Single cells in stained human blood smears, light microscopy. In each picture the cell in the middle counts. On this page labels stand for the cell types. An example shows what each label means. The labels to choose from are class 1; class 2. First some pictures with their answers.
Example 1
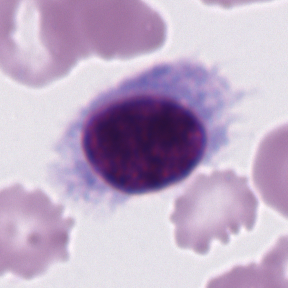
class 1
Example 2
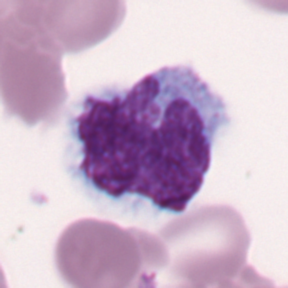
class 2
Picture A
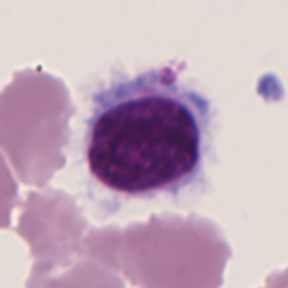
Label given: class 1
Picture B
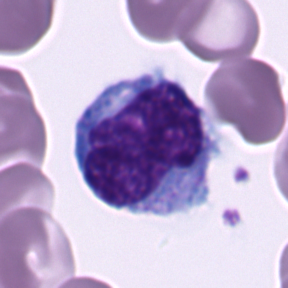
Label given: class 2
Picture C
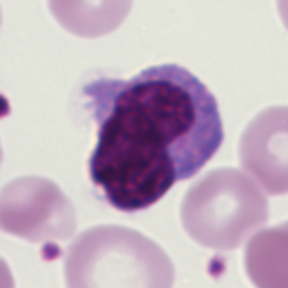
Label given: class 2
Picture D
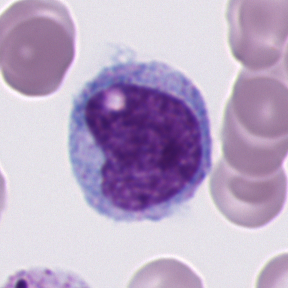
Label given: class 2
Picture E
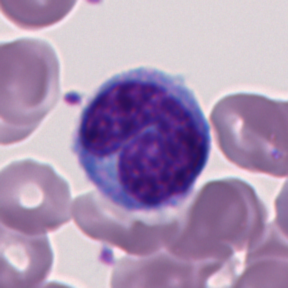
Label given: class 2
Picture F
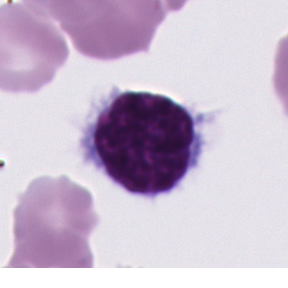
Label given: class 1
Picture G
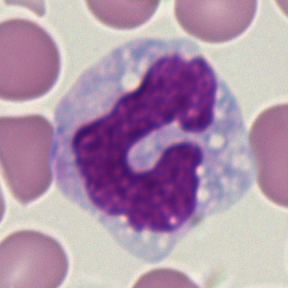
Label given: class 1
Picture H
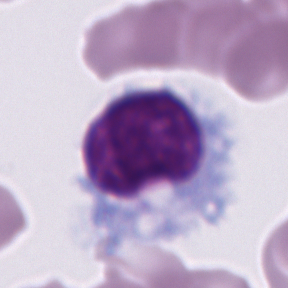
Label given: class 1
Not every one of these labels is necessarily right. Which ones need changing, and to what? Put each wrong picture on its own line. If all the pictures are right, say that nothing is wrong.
Wrong: G (class 1); correct: class 2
